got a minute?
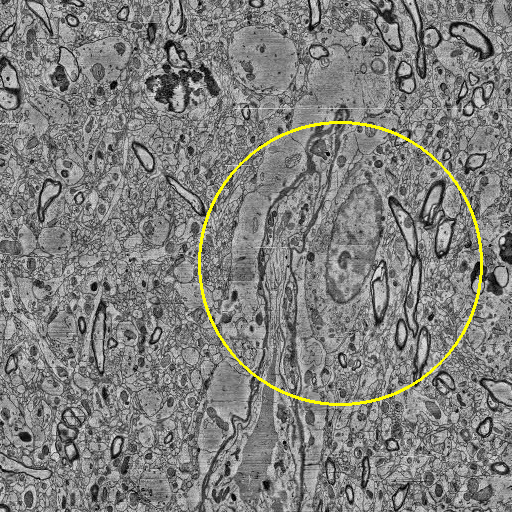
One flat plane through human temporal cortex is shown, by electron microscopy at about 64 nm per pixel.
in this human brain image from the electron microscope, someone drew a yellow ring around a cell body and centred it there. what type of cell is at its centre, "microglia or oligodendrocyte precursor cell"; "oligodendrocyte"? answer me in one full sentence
It's an oligodendrocyte at the middle of that yellow ring in the shot.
